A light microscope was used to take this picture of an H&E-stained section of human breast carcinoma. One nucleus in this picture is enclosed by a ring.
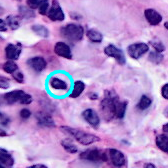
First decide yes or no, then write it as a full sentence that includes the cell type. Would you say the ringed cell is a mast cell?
No, the ringed cell is recorded as a lymphocyte instead of a mast cell.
